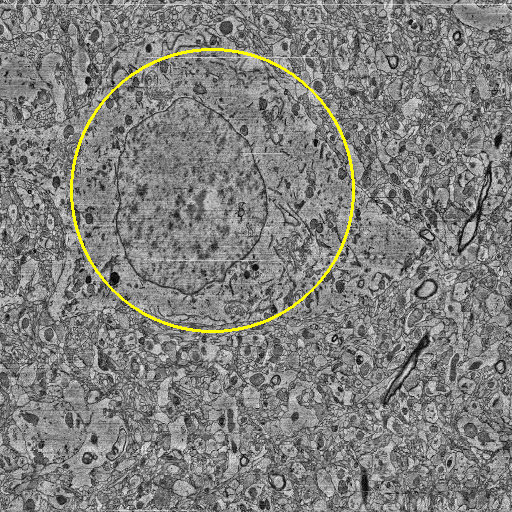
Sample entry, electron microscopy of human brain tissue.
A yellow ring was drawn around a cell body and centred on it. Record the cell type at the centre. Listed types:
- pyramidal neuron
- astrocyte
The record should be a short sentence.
The cell at the ring's centre is a pyramidal neuron.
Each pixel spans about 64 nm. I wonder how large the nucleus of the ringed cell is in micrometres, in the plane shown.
The nucleus measures about 13 by 10 micrometres in this plane.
